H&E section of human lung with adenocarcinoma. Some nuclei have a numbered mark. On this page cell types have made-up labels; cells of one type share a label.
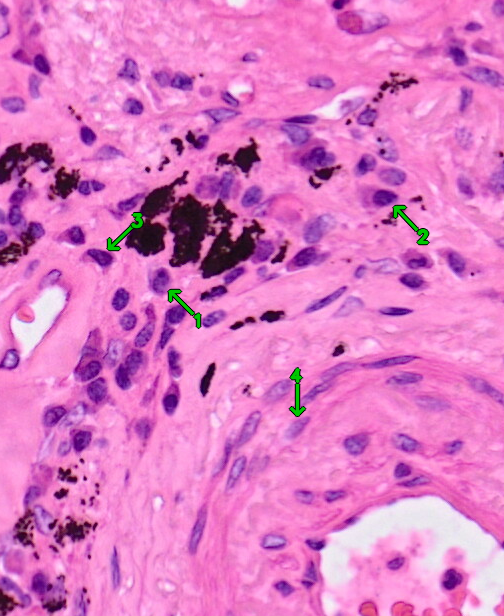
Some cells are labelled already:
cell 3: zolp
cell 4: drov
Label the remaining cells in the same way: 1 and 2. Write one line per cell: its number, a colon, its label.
1: zolp
2: zolp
